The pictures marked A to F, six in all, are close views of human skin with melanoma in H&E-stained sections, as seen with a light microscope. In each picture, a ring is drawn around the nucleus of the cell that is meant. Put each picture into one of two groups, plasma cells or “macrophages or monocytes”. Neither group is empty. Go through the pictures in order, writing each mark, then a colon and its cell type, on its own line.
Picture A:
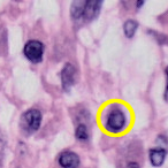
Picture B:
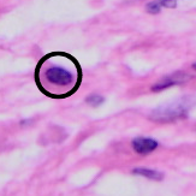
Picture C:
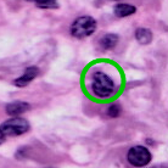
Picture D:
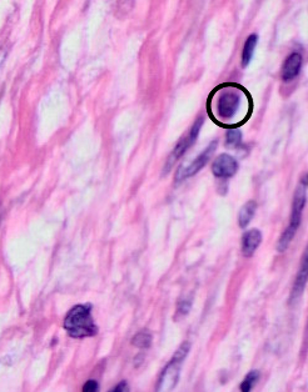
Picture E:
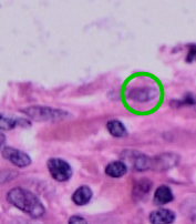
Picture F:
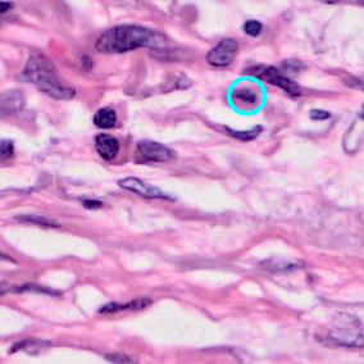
A: macrophage or monocyte
B: plasma cell
C: plasma cell
D: plasma cell
E: macrophage or monocyte
F: plasma cell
